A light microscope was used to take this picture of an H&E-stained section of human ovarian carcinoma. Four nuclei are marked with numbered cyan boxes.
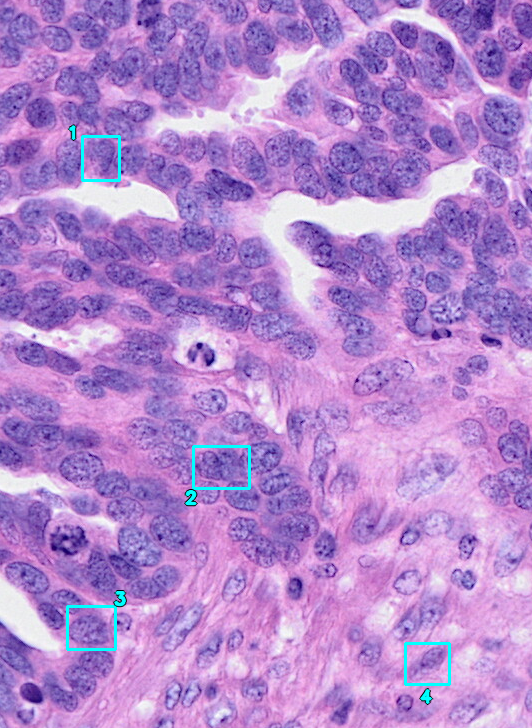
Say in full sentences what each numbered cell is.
Cells 1, 2 and 3 are carcinoma cells. Cell 4 is a fibroblast.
